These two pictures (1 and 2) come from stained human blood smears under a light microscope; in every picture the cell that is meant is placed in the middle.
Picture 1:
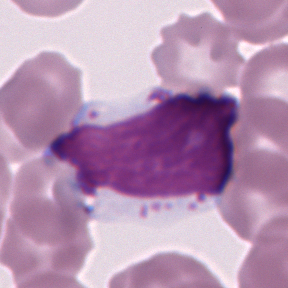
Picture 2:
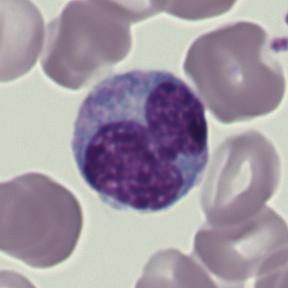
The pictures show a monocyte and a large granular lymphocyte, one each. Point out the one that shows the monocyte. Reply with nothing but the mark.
2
